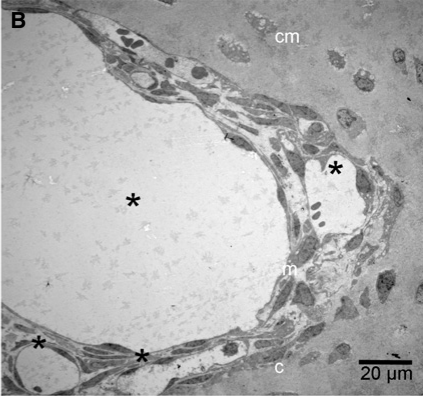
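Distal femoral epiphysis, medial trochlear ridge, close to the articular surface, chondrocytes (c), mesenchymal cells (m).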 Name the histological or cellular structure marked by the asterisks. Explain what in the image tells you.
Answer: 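Each lumen is bordered by a thin flat cell lining. Flocculent pale content fills the lumina.
Hence: vessels.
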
